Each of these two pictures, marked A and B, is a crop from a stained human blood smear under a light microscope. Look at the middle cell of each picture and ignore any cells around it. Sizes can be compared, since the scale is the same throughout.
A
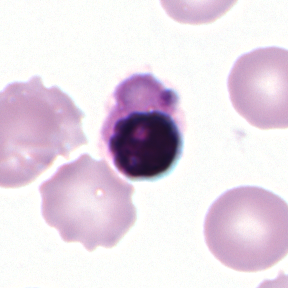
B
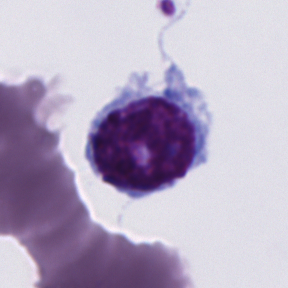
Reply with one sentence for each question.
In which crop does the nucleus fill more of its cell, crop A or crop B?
In crop B the nucleus takes up the larger part of its cell.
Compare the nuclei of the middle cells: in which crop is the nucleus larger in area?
The nucleus in crop B is larger, with about 2.5 times the area of the one in crop A.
